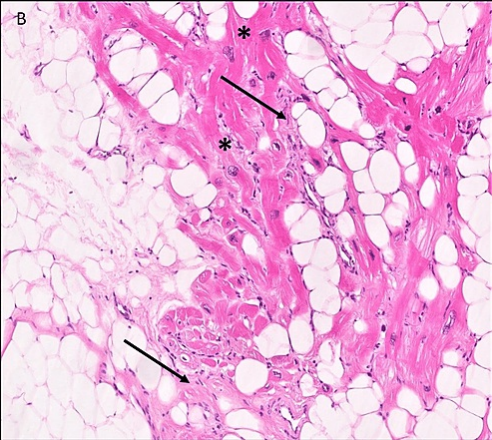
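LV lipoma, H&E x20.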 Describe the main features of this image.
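This section shows heart muscle cells trapped within mature fat tissue. Bundles of elongated muscle cells with deep pink cytoplasm and central oval nuclei run irregularly through the field. Some of these cells are broad and have large nuclei. Round, clear fat cells wedge between and around the bundles, and paler pink fibrous tissue with scattered small nuclei lies between the muscle cells and the fat.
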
